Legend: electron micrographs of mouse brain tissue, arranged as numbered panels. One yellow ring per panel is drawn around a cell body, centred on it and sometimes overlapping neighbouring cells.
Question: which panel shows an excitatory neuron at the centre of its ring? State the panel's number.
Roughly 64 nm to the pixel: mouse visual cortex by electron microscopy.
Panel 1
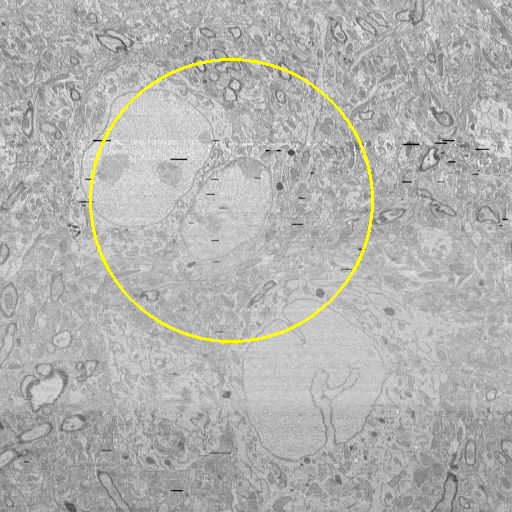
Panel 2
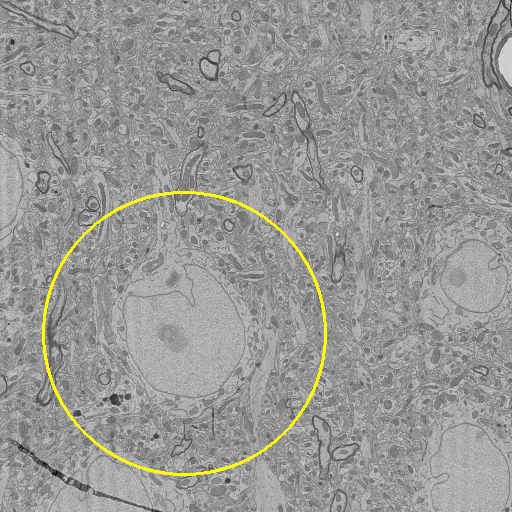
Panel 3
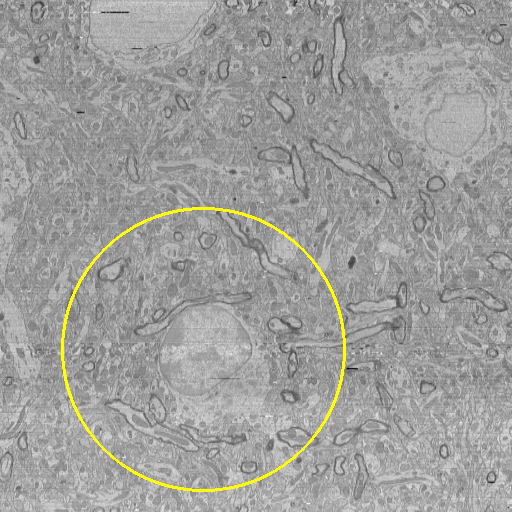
2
